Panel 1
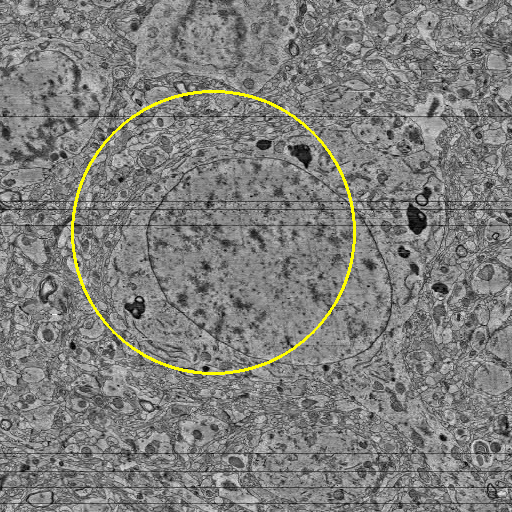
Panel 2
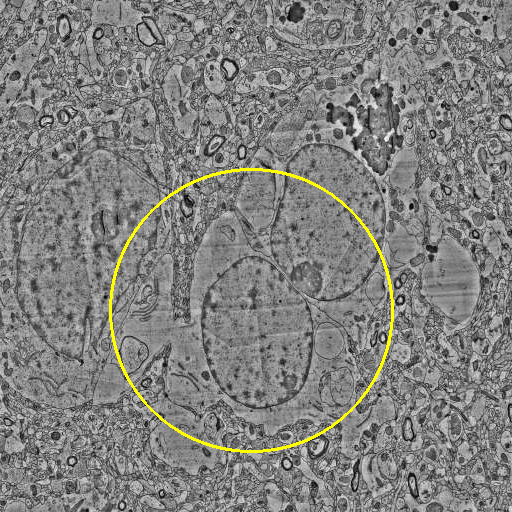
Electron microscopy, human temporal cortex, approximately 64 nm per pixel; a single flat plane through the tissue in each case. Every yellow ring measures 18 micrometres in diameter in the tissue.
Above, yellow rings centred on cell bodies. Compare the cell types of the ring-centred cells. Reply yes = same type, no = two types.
no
